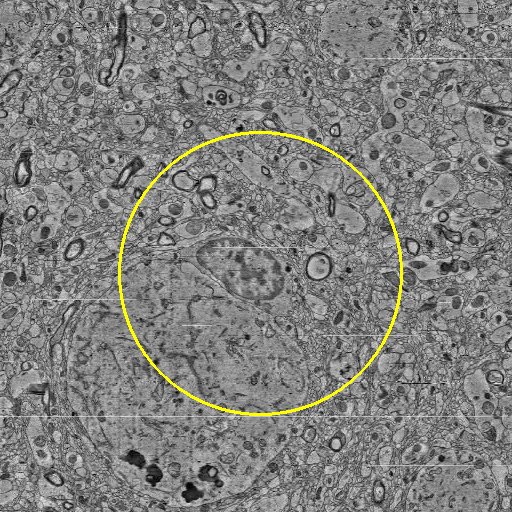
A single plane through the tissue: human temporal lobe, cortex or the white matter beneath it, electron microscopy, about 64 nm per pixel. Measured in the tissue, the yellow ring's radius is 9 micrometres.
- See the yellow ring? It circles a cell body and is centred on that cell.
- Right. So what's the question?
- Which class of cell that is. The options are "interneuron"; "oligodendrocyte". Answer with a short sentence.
The centre of the ring holds an oligodendrocyte.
